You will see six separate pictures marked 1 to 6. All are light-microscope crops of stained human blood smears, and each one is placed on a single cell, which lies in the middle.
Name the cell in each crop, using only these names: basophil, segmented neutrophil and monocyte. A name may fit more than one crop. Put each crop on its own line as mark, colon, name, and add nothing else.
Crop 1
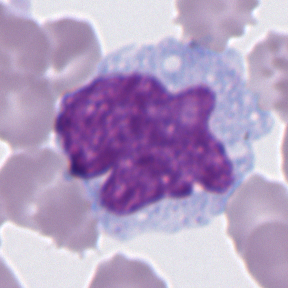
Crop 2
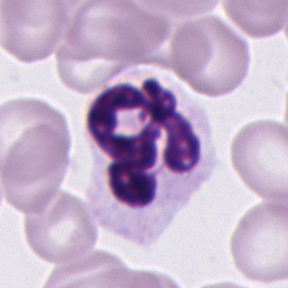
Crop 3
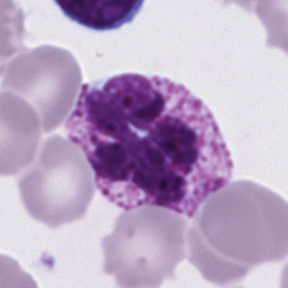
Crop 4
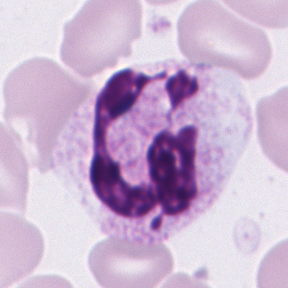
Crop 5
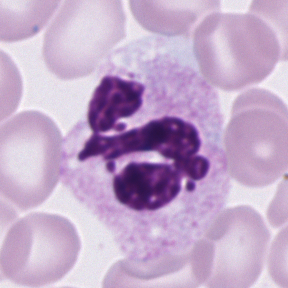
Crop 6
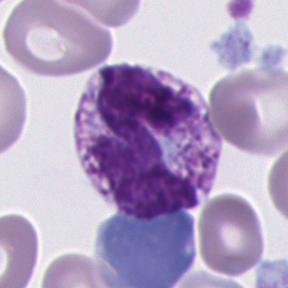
1: monocyte
2: segmented neutrophil
3: basophil
4: segmented neutrophil
5: segmented neutrophil
6: basophil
